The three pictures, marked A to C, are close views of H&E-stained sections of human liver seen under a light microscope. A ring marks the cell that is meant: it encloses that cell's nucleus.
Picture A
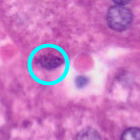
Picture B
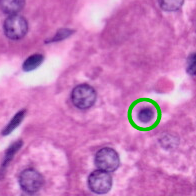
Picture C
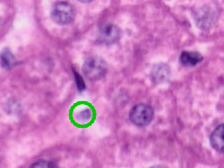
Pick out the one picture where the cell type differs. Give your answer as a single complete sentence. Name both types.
The different one is picture A; it shows a “fibroblast or stellate cell”, whereas all the others show lymphocytes.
